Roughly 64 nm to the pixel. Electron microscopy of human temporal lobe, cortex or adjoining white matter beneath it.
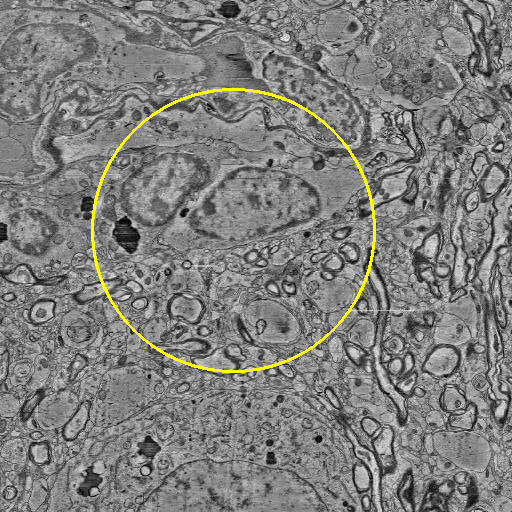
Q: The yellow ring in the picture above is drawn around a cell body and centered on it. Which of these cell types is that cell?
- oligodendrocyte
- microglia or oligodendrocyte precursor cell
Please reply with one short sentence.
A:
The cell body at the ring's center belongs to a microglial cell or oligodendrocyte precursor cell.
